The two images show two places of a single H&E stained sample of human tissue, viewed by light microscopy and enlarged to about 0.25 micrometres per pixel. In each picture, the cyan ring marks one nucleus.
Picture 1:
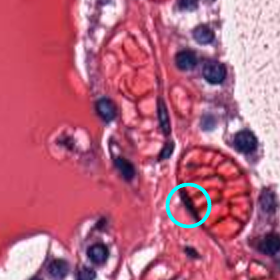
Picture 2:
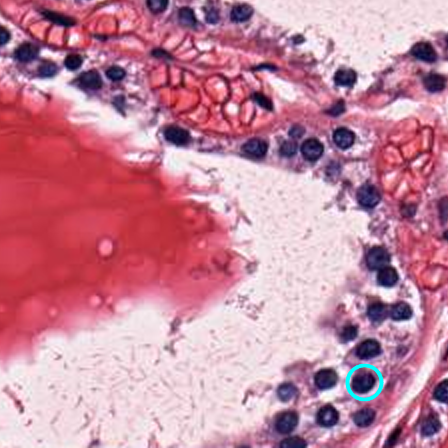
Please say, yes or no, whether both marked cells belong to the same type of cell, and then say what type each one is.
No, the first is an endothelial cell and the second a thyroid follicular cell.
